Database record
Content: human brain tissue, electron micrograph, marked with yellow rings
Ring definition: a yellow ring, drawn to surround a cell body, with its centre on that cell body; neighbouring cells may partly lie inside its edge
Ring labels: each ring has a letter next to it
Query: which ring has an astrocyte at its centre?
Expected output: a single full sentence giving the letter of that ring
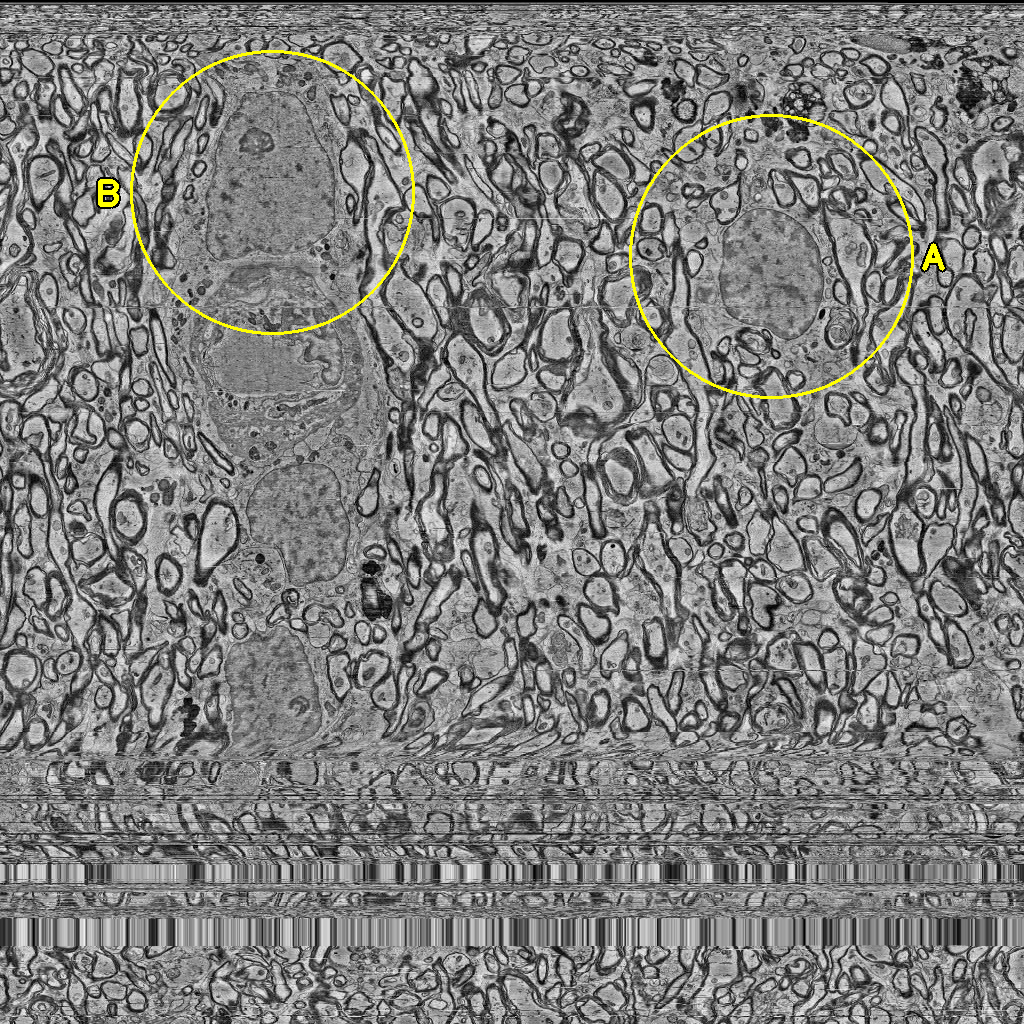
In the picture, the cell being queried lies at the centre of ring B.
